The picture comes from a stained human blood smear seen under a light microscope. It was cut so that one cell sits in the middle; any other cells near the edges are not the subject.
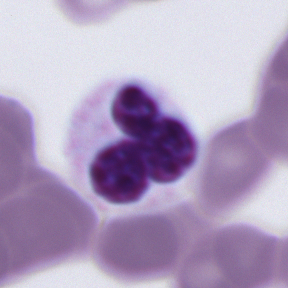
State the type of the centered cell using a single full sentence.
This particular crop is centered on a segmented neutrophil.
